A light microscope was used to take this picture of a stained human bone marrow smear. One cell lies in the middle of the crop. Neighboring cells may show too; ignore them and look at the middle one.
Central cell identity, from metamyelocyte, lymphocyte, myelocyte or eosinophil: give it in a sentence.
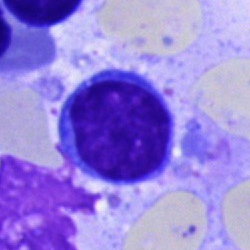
The middle position in this crop is taken by a lymphocyte.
